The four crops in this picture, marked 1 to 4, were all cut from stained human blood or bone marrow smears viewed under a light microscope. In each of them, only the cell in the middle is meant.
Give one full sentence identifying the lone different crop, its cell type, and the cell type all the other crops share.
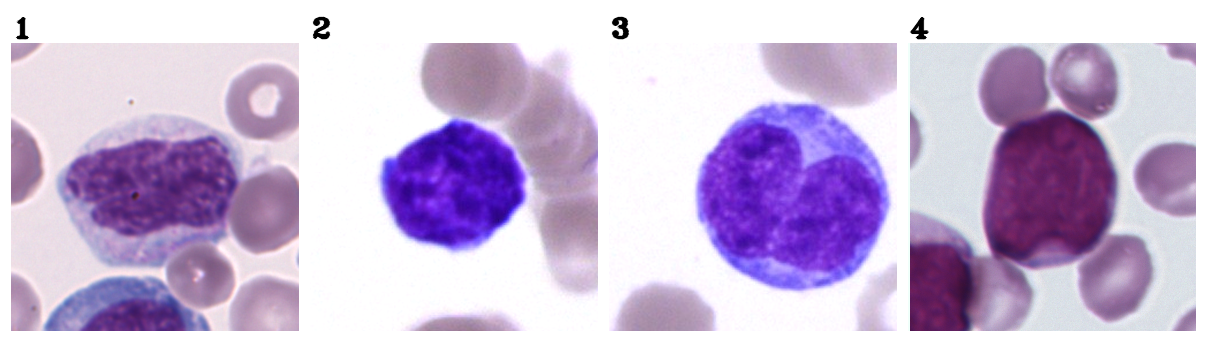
Here the outlier is crop 1, which is a myelocyte, and the rest are blasts.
